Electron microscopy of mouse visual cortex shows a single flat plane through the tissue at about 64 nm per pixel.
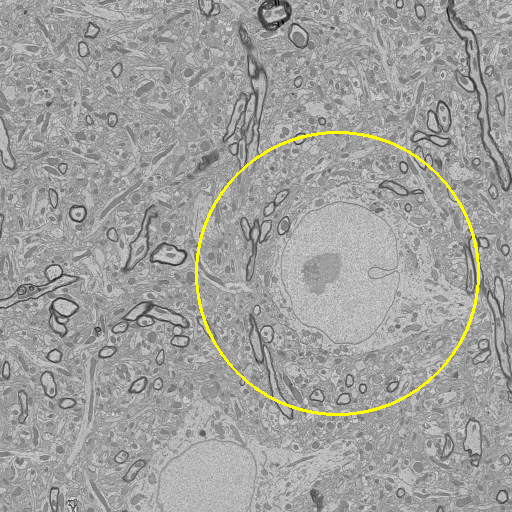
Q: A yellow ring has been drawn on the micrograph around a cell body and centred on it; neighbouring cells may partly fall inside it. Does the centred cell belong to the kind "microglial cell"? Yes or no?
No, it belongs to another kind.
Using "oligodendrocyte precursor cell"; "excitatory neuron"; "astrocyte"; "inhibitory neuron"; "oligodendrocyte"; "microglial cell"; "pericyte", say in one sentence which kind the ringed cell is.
Sitting at the ring centre is an excitatory neuron.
